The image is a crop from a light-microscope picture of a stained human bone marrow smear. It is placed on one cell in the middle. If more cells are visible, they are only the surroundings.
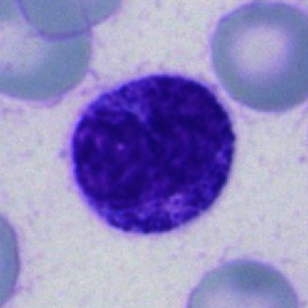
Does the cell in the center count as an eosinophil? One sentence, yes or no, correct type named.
No, calling it an eosinophil is wrong; the middle cell is a basophil.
